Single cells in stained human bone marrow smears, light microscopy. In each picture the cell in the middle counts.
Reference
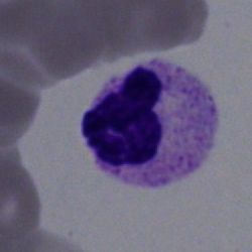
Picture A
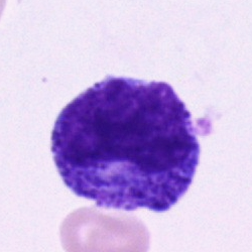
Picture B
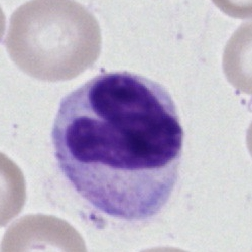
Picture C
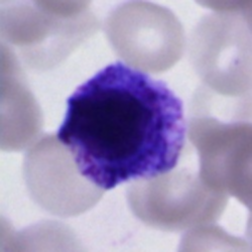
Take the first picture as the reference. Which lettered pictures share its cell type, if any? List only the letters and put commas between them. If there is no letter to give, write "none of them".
none of them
